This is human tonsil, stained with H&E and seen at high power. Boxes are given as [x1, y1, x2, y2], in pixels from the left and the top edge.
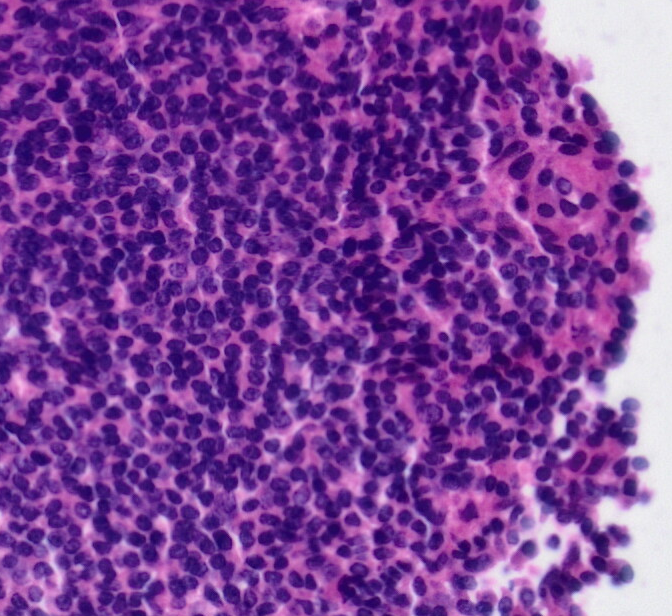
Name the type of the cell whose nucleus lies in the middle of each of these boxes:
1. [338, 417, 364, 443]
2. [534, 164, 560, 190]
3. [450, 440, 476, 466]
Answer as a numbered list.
1. small lymphocyte
2. plasma cell
3. small lymphocyte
